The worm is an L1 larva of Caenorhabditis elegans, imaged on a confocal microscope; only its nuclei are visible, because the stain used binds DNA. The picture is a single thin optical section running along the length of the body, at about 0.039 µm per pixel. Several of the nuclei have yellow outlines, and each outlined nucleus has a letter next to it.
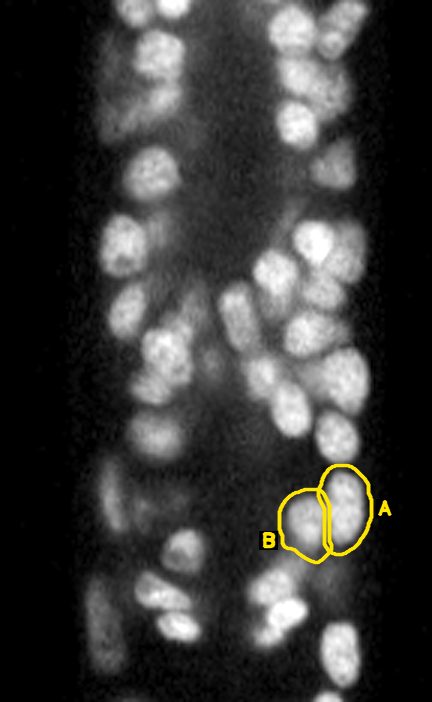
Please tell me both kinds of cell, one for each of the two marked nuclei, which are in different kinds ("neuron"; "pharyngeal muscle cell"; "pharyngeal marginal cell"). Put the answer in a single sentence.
One is from a neuron, namely A, and the other, B, is from a pharyngeal marginal cell.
